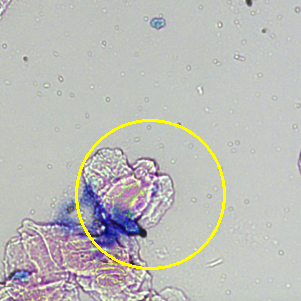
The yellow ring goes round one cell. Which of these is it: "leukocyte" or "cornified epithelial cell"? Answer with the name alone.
cornified epithelial cell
